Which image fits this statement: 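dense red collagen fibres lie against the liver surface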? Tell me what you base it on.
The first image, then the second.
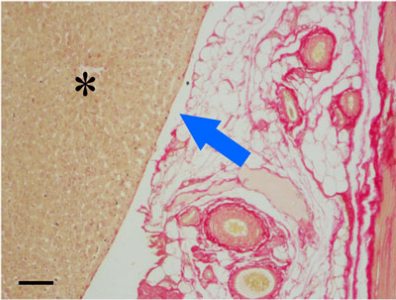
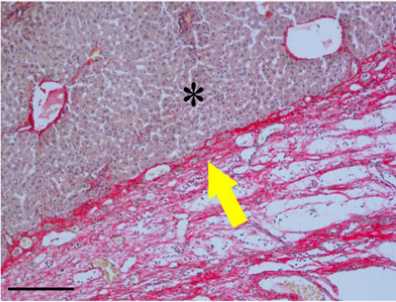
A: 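The second image. First image: a clear empty gap separates the smooth liver edge from loose tissue with thin red septa. Second image: a band of intense red fibres runs along and against the liver edge and spreads into loose fibrous tissue.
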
